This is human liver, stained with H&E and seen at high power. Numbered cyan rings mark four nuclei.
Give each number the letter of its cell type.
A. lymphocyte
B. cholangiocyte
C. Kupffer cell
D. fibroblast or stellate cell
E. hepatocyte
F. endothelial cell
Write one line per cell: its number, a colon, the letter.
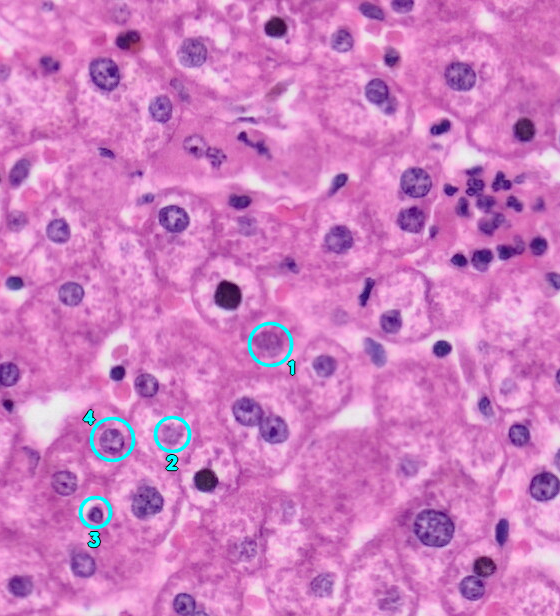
1: E
2: E
3: C
4: E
